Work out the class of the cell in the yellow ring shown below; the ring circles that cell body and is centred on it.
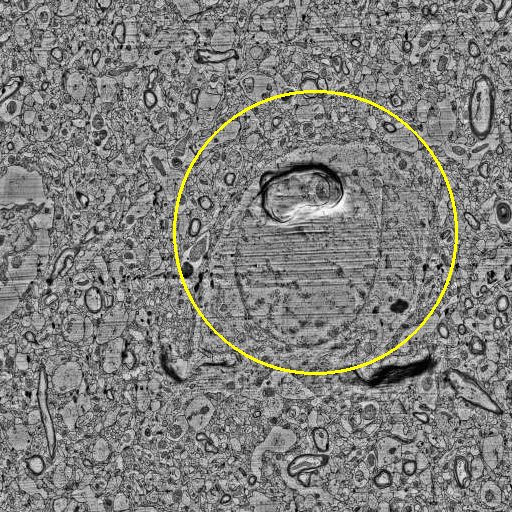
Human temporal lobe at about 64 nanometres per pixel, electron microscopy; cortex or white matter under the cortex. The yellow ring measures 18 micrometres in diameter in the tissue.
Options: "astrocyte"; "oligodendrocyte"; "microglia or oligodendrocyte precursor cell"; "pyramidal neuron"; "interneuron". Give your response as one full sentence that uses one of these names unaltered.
The body ringed in yellow, right at the ring's centre, is that of an interneuron.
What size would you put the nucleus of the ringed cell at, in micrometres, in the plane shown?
The nucleus has a long axis of about 12 micrometres and a short axis of about 10 micrometres in this plane.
